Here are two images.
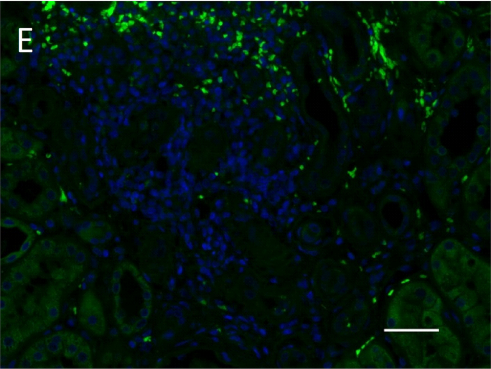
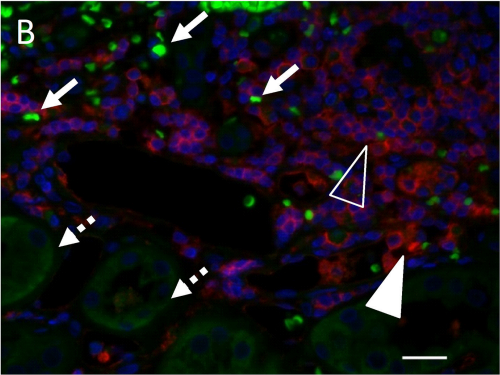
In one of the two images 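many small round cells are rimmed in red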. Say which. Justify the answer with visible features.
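Second image: many small round cells have red outlines around blue nuclei.
Conclusion: the second image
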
